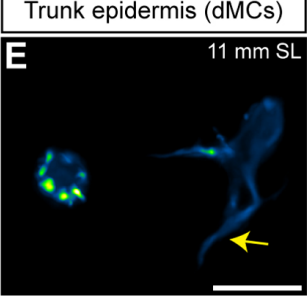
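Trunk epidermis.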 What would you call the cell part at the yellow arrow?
longest protrusion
